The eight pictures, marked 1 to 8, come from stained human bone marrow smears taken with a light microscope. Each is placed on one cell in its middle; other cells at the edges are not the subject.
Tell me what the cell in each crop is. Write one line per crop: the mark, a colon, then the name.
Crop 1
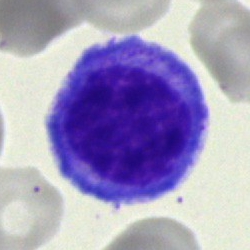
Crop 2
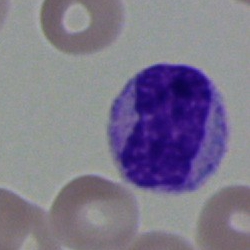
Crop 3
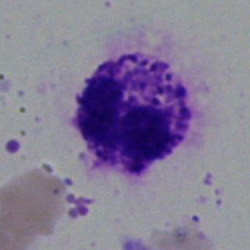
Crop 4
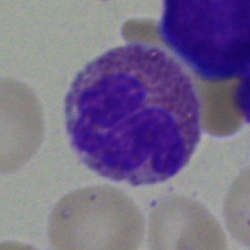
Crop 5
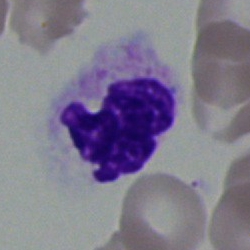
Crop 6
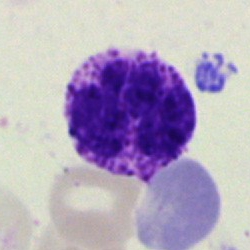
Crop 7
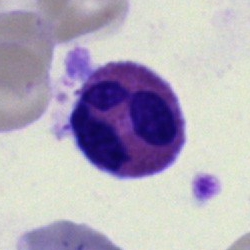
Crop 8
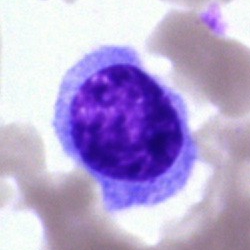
1: promyelocyte
2: metamyelocyte
3: basophil
4: eosinophil
5: segmented neutrophil
6: basophil
7: eosinophil
8: hairy cell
